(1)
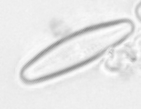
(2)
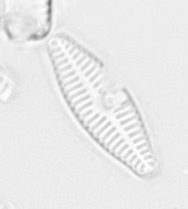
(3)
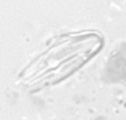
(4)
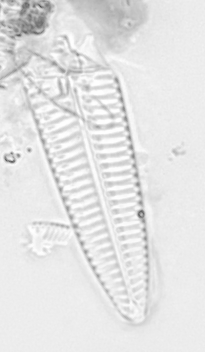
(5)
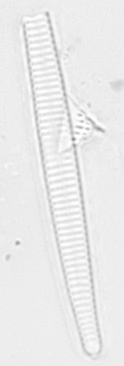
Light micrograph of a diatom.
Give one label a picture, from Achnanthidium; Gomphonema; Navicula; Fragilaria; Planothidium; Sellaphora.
(1) Achnanthidium
(2) Planothidium
(3) Achnanthidium
(4) Navicula
(5) Fragilaria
